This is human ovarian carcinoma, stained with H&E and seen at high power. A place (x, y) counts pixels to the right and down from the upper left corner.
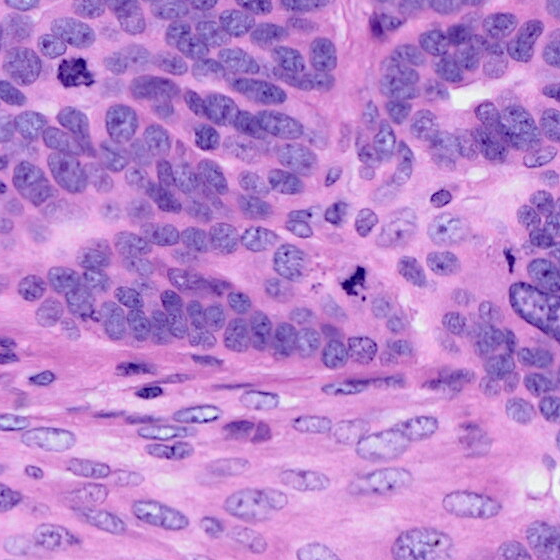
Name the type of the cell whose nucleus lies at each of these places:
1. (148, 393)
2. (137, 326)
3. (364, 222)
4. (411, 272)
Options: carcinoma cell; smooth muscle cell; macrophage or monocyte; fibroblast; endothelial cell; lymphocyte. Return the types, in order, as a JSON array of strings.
["lymphocyte", "carcinoma cell", "macrophage or monocyte", "macrophage or monocyte"]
